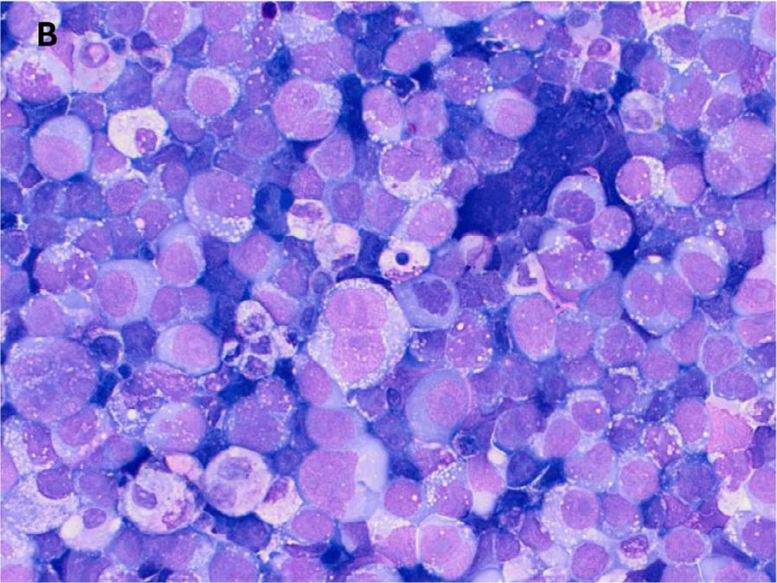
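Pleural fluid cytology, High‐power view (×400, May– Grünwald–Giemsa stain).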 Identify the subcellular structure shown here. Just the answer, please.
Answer: multiple fine cytoplasmic vacuoles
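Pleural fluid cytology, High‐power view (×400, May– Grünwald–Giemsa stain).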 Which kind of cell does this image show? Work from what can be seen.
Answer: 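Blastoid cells. Large cells with round to ovoid nuclei dominate the field. Nuclei have fine, open chromatin. Cells vary in size and shape.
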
